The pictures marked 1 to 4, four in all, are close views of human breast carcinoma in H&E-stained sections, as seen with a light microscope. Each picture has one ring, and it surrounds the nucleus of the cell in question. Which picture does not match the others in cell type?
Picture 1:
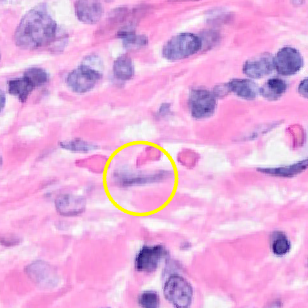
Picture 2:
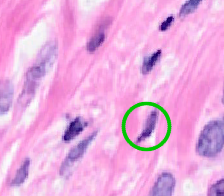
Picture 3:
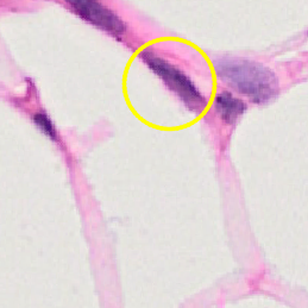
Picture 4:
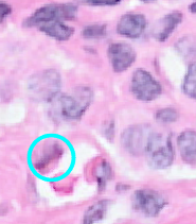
2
